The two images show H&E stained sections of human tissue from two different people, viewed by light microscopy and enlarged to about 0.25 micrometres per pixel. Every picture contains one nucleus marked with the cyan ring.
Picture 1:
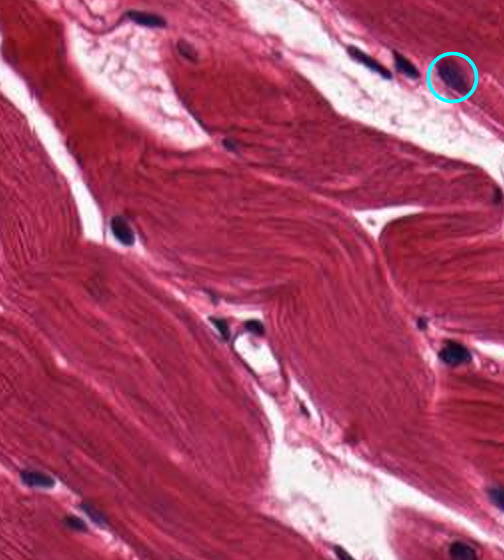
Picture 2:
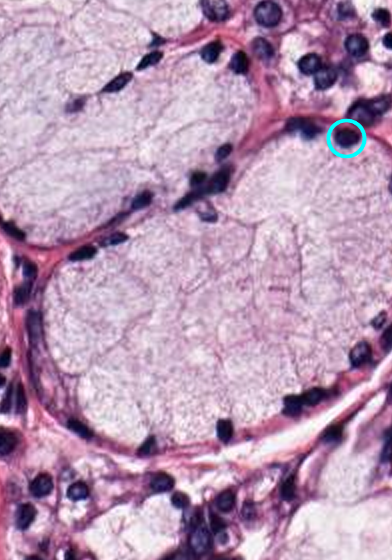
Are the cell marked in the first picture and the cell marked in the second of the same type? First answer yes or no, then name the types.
No, the first is a skeletal muscle fibre and the second a mucous gland cell.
